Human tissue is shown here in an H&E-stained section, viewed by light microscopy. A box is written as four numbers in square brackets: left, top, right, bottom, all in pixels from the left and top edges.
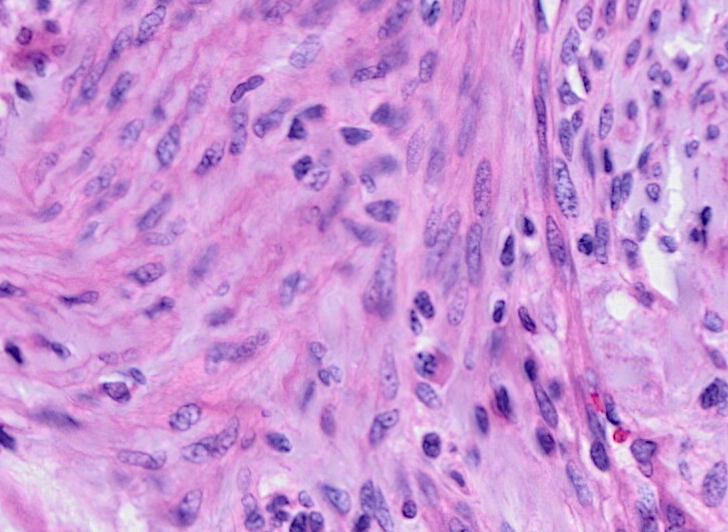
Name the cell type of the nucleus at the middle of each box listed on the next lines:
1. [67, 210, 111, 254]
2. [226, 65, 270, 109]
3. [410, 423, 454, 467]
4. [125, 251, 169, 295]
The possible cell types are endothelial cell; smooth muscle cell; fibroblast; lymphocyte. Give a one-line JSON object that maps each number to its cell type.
{"1": "smooth muscle cell", "2": "smooth muscle cell", "3": "lymphocyte", "4": "smooth muscle cell"}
